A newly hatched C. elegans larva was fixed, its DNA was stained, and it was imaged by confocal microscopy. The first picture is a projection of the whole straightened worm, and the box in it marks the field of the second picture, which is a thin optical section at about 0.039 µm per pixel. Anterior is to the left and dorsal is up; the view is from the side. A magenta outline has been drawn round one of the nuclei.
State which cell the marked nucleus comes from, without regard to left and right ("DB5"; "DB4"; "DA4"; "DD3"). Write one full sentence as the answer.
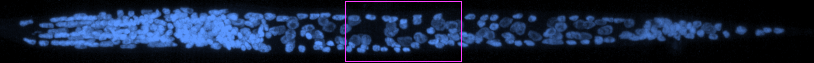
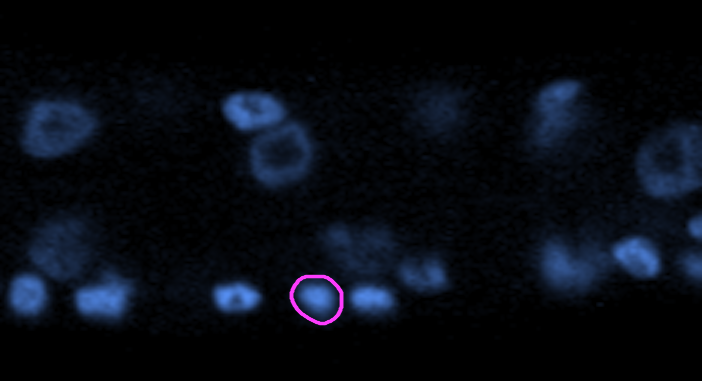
The cell whose nucleus is marked is DA4, a neuron.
